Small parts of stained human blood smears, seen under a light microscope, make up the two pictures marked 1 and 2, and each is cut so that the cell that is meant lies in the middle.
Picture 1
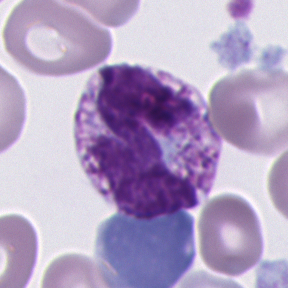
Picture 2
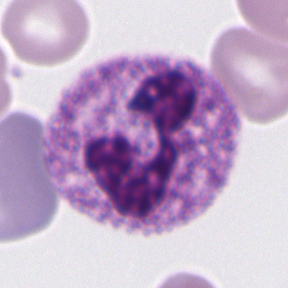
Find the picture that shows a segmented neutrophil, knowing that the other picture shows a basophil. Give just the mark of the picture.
2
